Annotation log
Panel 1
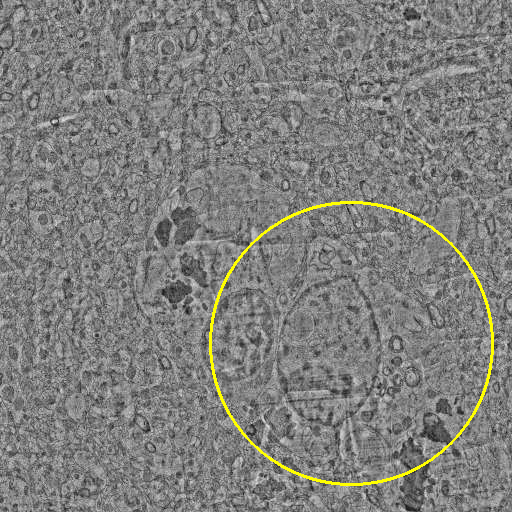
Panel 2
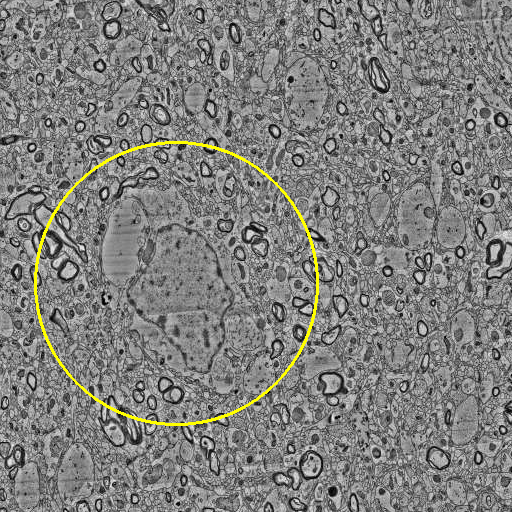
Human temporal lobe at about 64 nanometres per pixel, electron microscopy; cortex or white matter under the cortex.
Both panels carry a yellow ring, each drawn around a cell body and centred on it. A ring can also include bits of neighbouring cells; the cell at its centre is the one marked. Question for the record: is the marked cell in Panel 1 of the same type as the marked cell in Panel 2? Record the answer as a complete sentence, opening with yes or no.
Yes, the marked cells in Panel 1 and Panel 2 are of the same type.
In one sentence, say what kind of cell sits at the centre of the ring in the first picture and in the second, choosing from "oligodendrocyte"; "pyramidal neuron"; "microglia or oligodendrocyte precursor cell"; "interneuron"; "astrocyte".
Each of the two cells is an astrocyte.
